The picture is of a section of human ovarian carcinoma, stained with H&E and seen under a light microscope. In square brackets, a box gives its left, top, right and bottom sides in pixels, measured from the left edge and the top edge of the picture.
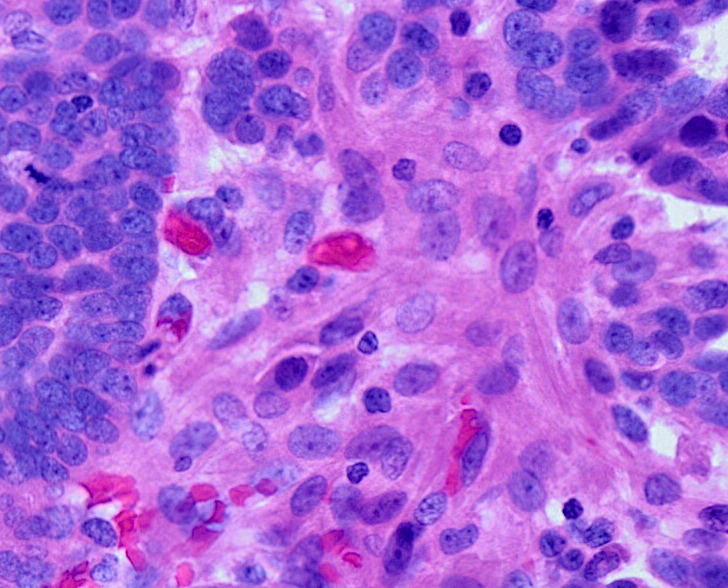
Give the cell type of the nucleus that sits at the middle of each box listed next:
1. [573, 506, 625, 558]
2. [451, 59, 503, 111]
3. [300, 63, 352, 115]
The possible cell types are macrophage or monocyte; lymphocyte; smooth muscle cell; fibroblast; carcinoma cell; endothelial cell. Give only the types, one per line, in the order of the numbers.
macrophage or monocyte
lymphocyte
fibroblast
